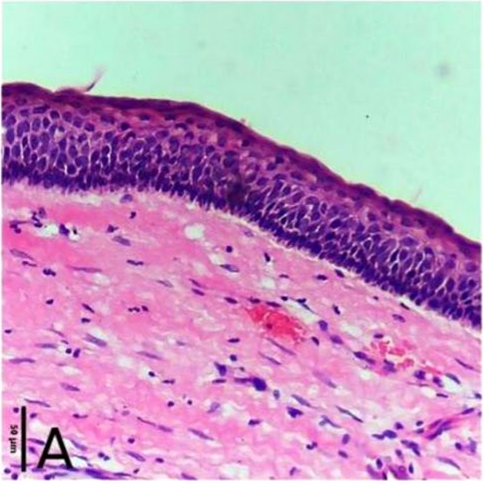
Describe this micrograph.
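A thin band of stratified squamous epithelium of fairly even thickness lies over pale pink fibrous connective tissue containing scattered spindle-shaped nuclei and a small blood vessel. Its bottom layer is a regular row of tall cells with dark, crowded nuclei standing side by side like a fence, and the surface is covered by a thin, darker pink layer. The border with the connective tissue is smooth and flat, without ridges, as in the lining of an odontogenic keratocyst.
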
